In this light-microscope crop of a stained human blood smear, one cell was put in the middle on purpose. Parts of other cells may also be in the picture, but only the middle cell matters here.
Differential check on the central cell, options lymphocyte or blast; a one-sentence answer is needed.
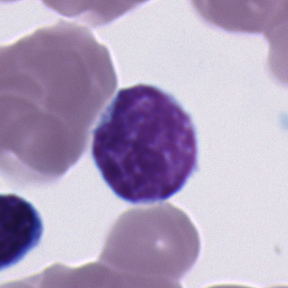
By type, the central cell of the crop is a lymphocyte.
